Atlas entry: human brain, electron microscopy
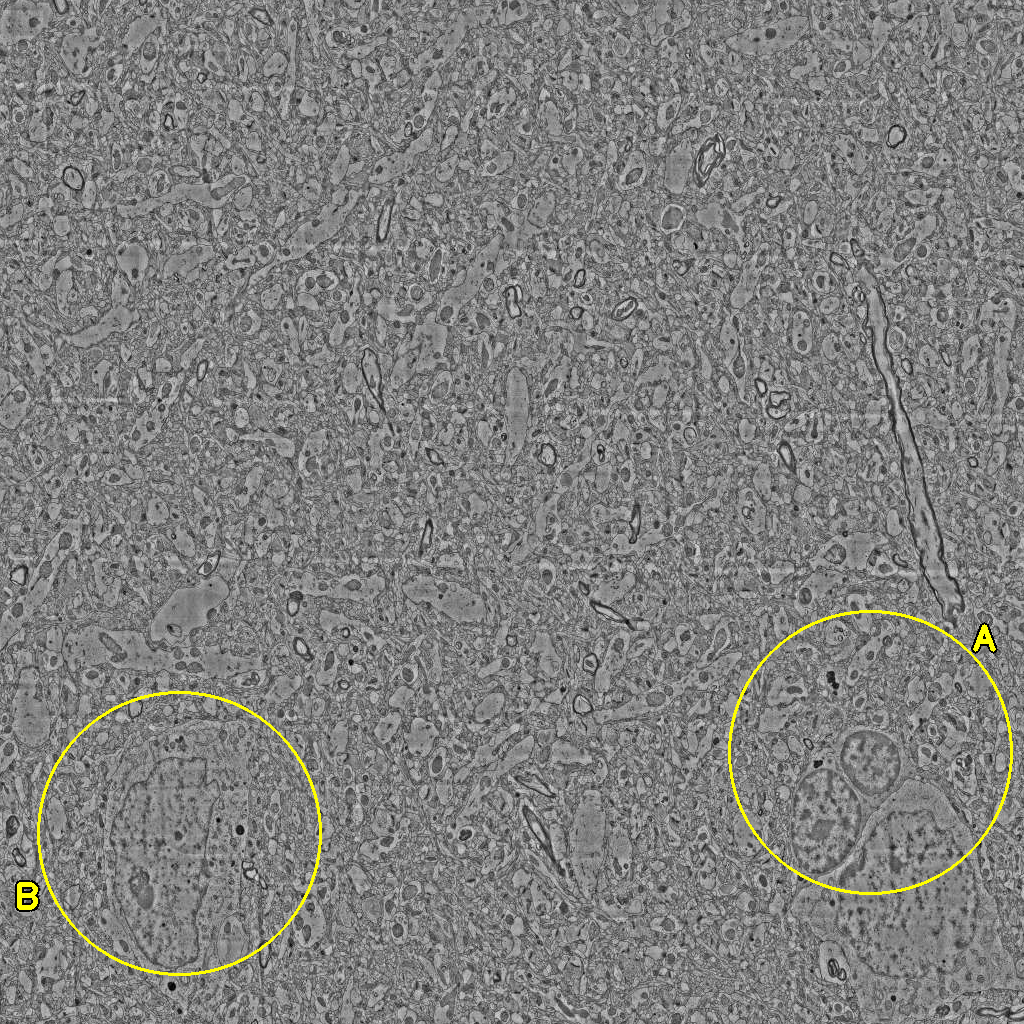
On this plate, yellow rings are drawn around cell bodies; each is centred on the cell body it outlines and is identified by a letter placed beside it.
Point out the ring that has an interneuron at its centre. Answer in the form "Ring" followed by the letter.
Ring B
